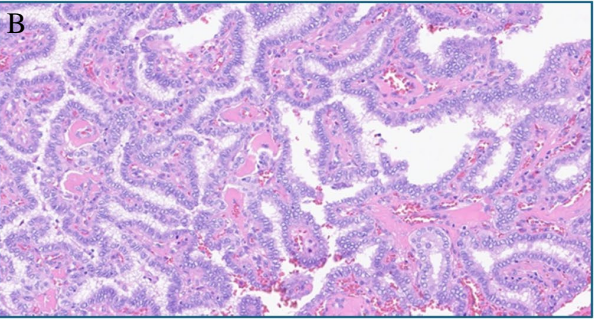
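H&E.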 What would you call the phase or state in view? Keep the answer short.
Classic subtype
